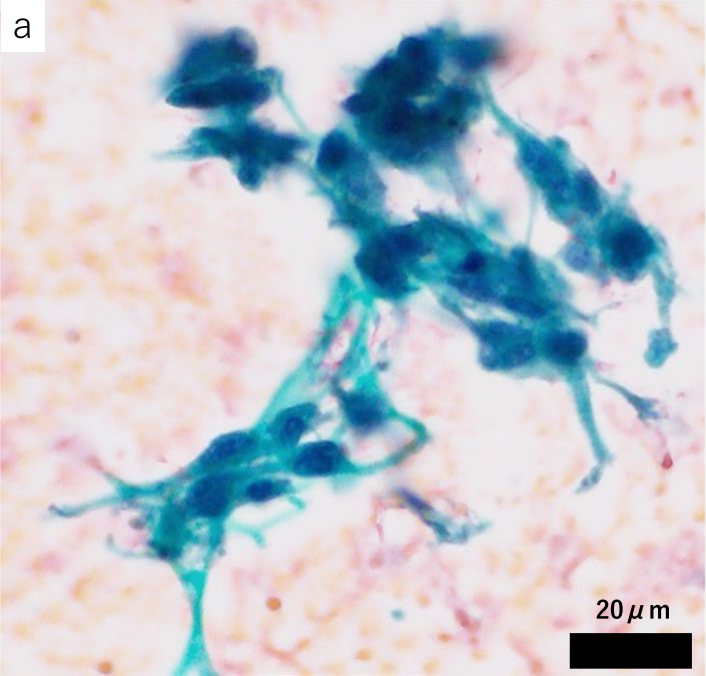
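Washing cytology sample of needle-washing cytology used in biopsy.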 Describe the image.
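Loosely connected clusters of spindle-shaped atypical cells lie on a granular pinkish-orange background. The cells have blue-green cytoplasm drawn out into long, thin tail-like processes, and their dark, enlarged nuclei crowd and overlap within the groups.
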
